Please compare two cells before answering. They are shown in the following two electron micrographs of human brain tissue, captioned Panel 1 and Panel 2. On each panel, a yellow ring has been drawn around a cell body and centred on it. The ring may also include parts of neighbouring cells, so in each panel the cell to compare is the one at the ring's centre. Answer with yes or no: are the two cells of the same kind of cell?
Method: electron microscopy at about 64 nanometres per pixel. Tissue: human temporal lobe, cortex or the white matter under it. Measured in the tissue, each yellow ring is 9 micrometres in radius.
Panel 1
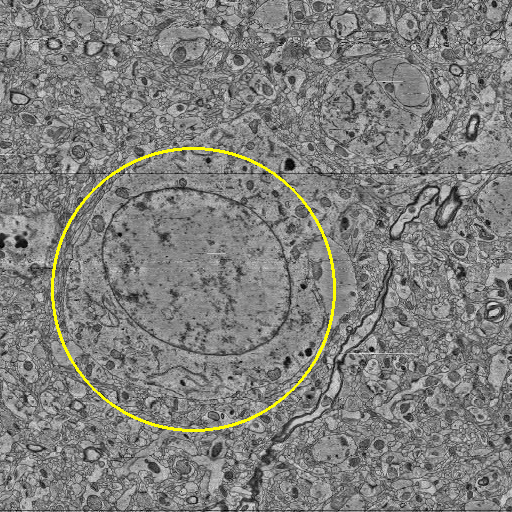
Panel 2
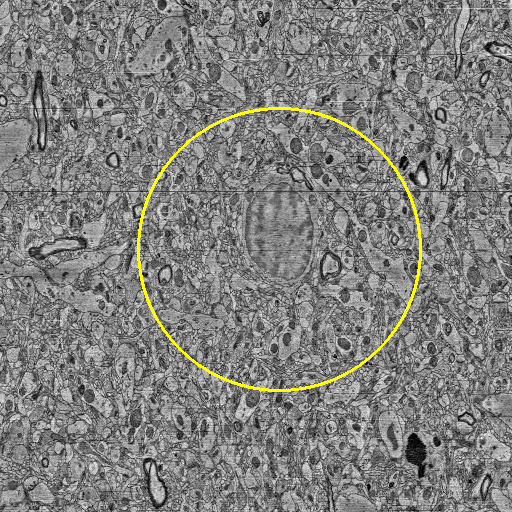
no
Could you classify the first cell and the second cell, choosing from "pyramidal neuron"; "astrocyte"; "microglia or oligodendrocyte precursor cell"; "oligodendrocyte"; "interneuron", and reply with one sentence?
The second cell is an oligodendrocyte, while the first is a pyramidal neuron.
